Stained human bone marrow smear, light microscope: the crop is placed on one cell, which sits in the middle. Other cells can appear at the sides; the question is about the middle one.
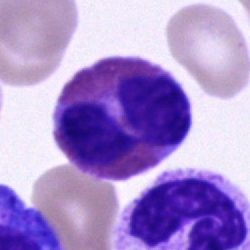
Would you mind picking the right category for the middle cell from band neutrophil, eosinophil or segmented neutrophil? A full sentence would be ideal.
The centrally placed cell is classified as an eosinophil.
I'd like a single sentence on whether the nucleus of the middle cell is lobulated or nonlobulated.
Kindly observe that the nucleus forms two or more lobes.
